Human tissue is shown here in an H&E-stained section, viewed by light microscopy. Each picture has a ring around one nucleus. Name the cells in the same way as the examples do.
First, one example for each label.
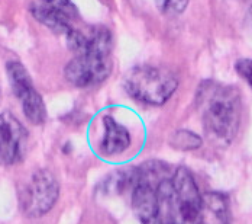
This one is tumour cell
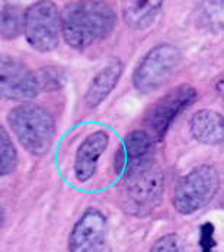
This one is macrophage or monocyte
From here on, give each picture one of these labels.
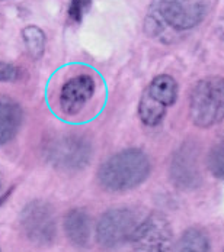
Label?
macrophage or monocyte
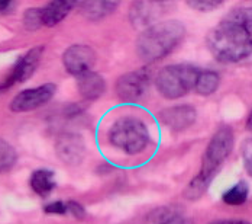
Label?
macrophage or monocyte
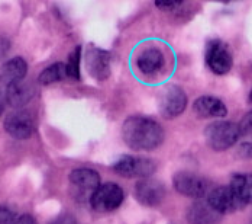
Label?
macrophage or monocyte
